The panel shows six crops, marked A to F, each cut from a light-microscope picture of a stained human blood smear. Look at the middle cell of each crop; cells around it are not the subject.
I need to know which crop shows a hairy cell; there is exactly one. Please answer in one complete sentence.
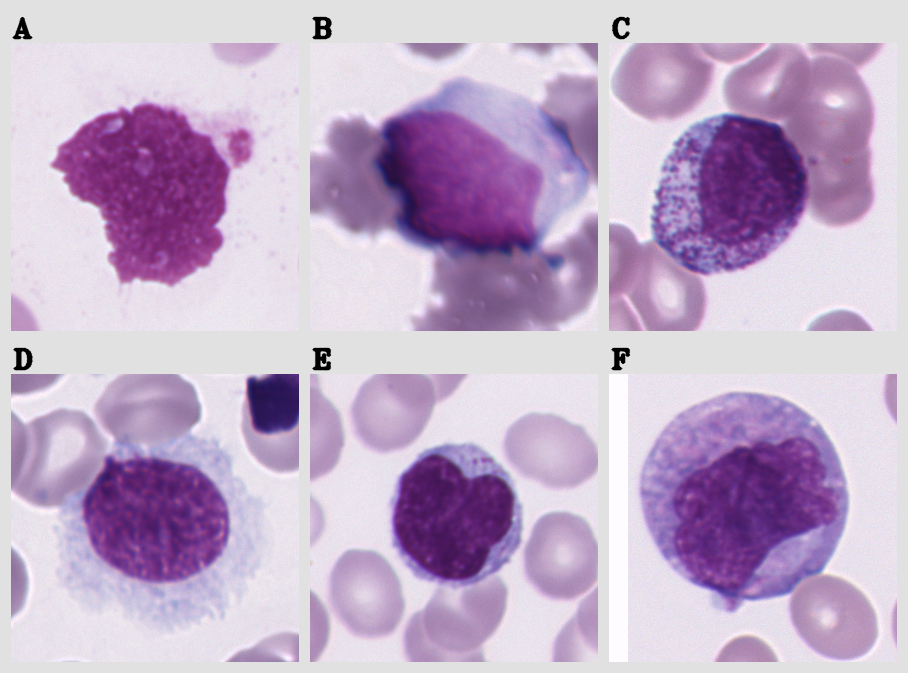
Crop D is the crop that shows a hairy cell in its middle.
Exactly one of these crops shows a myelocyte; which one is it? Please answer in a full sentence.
Of the crops shown, crop C depicts a myelocyte.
